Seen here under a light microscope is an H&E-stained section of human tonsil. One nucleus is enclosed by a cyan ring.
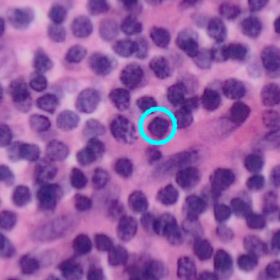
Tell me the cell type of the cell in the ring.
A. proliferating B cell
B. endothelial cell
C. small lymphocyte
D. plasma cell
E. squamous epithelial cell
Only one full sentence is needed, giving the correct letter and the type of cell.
Best answer: option C, with the cell in the ring being a small lymphocyte.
